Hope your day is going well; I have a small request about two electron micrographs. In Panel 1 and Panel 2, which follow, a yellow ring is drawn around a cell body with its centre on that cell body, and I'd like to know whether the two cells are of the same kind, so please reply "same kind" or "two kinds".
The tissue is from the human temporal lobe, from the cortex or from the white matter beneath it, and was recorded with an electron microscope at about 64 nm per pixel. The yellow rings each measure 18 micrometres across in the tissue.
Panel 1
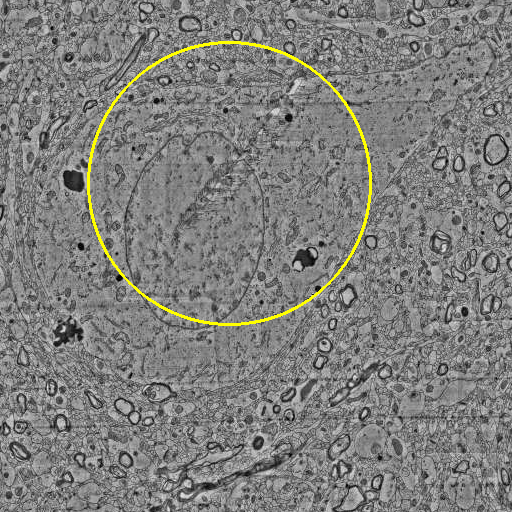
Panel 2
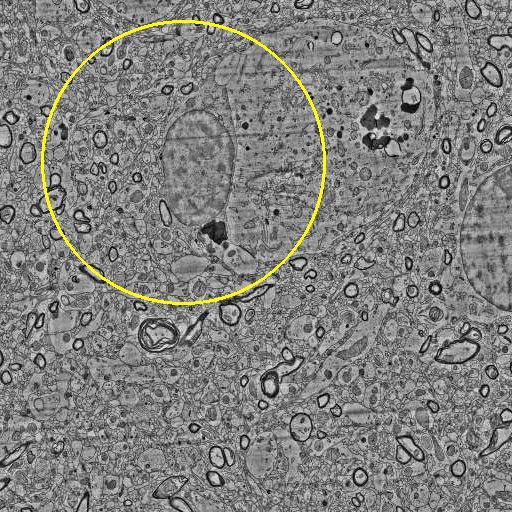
two kinds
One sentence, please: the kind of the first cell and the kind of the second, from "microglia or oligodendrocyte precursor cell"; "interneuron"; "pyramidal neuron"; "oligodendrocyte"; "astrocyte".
The ring in the first picture surrounds a pyramidal neuron, and the ring in the second surrounds an oligodendrocyte.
